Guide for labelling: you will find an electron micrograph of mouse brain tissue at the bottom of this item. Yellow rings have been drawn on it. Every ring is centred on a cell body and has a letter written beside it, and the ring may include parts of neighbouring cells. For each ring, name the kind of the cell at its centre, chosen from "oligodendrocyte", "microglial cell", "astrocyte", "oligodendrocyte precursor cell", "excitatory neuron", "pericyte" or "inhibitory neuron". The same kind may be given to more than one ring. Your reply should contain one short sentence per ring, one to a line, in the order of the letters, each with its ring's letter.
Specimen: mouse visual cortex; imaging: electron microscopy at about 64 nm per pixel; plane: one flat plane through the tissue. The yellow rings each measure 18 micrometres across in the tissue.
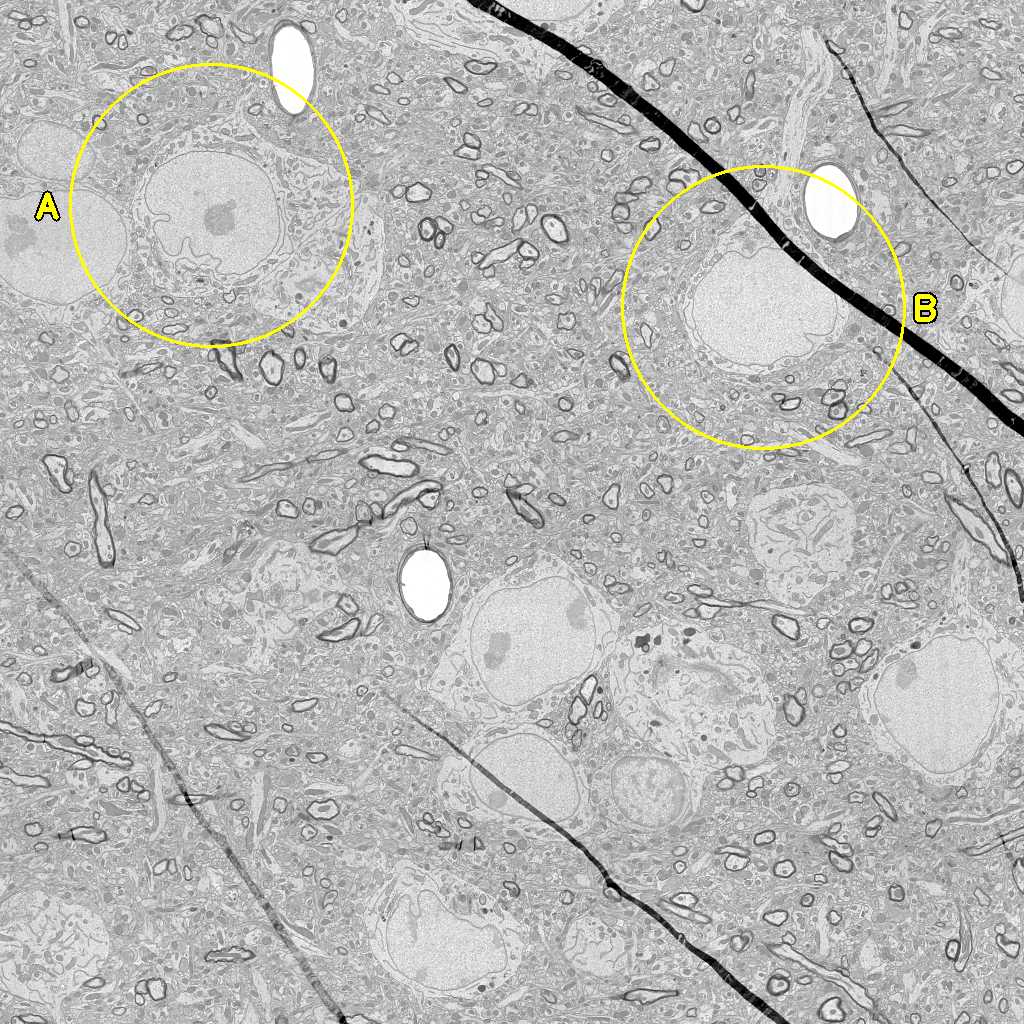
Ring A is centred on the body of an inhibitory neuron.
Ring B is centred on the body of an excitatory neuron.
